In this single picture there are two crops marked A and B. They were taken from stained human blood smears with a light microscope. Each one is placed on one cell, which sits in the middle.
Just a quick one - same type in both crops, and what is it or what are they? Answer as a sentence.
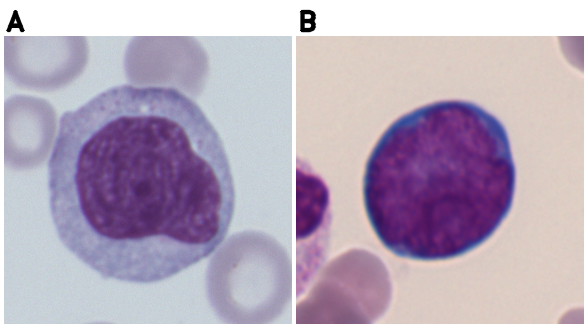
No, crop A is of a monocyte, and crop B is of a blast.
